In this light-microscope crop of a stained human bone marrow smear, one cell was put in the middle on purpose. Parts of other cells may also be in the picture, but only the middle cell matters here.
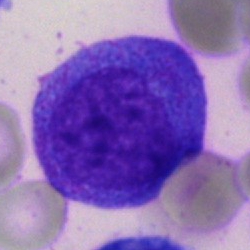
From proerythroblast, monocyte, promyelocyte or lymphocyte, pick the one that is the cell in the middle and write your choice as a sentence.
The crop's centre is taken up by a promyelocyte.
